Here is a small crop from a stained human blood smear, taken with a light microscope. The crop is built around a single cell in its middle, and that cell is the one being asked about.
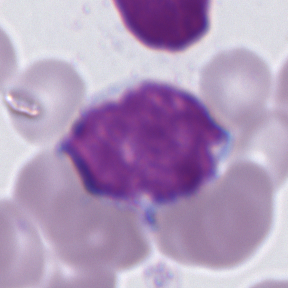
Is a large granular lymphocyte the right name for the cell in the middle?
yes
